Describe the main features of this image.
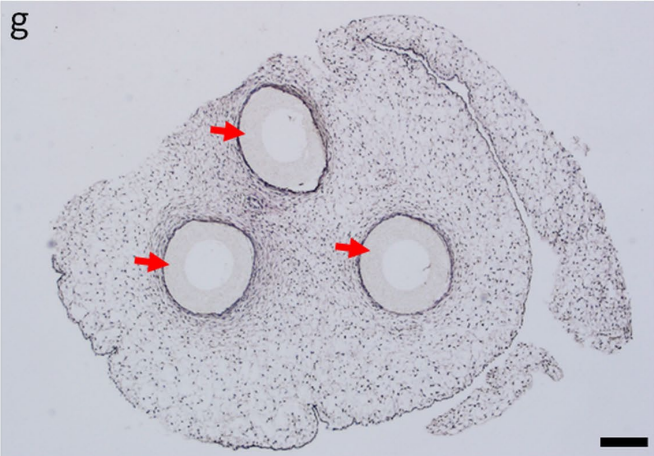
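This cross-section of an umbilical cord shows loose connective tissue in which three round vessel profiles are cut across. Between the vessels, the tissue is pale and loosely textured, with small dark nuclei scattered fairly evenly through it. Each vessel profile contains a smooth, pale ring with an empty center that fills the vessel lumen. A thin dark line of cells and wall tissue surrounds each ring. Along one edge of the section, a thin, folded band of tissue runs around the outer contour, and it is partly separated from the rest of the section.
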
